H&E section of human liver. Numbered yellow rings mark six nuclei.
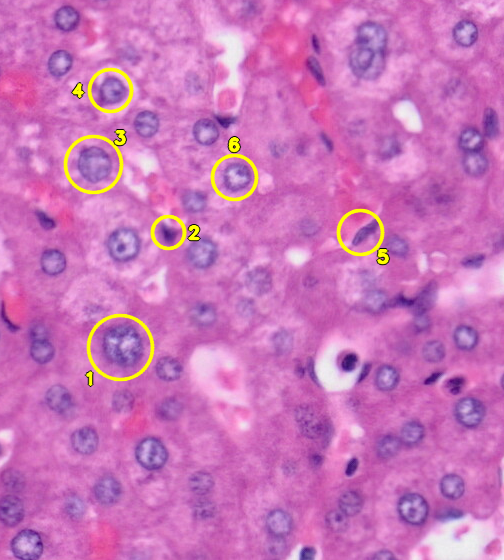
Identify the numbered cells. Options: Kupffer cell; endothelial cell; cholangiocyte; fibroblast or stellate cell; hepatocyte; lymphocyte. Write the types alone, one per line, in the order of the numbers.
hepatocyte
fibroblast or stellate cell
hepatocyte
hepatocyte
endothelial cell
hepatocyte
